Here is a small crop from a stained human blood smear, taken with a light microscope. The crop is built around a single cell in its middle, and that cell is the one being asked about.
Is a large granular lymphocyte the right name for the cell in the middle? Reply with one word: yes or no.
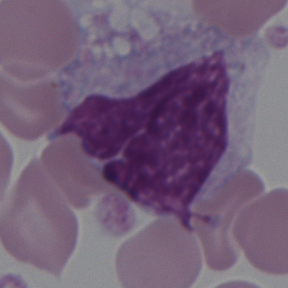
no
